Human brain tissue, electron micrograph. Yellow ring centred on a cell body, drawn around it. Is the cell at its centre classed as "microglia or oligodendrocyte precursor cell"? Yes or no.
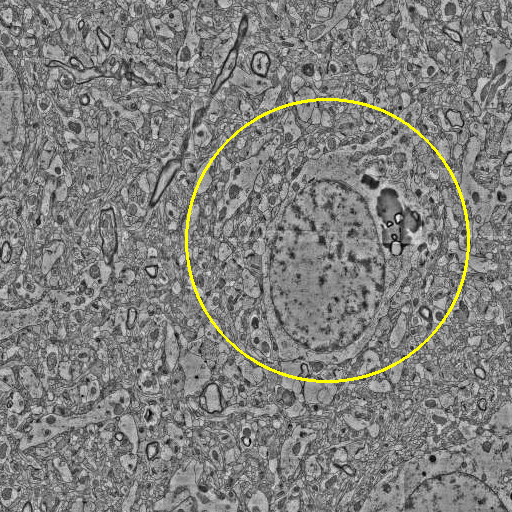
No, it is classed as another kind.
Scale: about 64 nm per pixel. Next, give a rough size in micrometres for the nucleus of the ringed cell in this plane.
About 11 by 7 micrometers, in this plane.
